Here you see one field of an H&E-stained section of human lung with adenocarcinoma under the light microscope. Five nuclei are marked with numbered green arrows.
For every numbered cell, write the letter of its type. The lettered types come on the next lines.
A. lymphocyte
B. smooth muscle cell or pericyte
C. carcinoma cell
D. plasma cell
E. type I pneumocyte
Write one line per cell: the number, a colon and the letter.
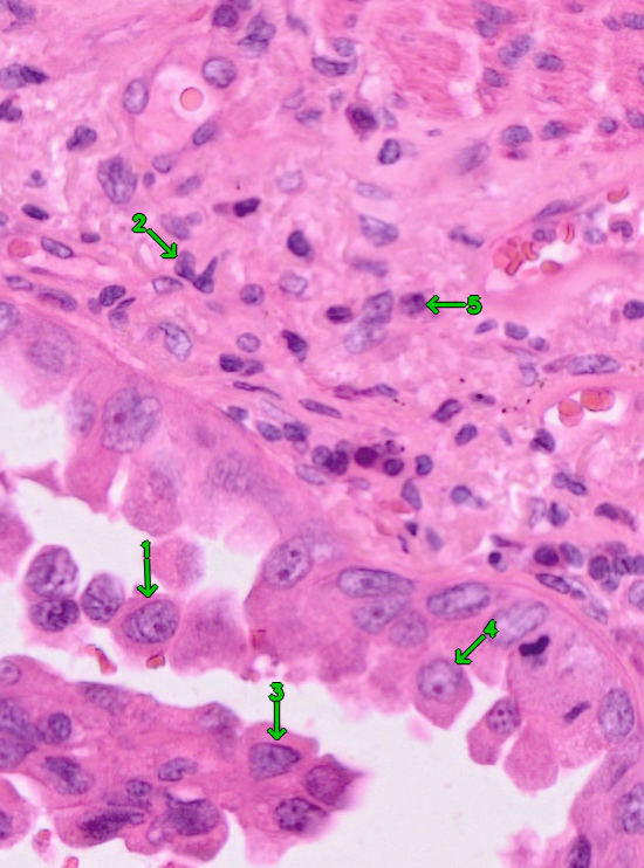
1: C
2: A
3: C
4: C
5: D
